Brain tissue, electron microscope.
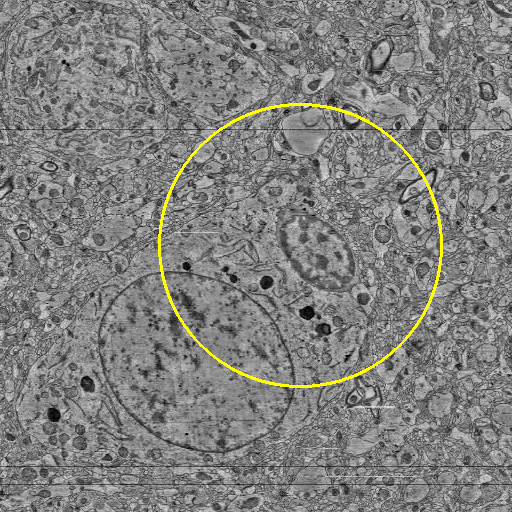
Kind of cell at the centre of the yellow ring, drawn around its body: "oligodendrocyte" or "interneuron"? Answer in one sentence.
The ring's centre falls on an oligodendrocyte.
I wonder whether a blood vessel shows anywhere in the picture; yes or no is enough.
No.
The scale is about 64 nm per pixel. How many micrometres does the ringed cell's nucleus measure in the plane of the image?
Roughly 6 micrometres by 4 micrometres, so the nucleus is clearly longer than it is wide in this plane.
